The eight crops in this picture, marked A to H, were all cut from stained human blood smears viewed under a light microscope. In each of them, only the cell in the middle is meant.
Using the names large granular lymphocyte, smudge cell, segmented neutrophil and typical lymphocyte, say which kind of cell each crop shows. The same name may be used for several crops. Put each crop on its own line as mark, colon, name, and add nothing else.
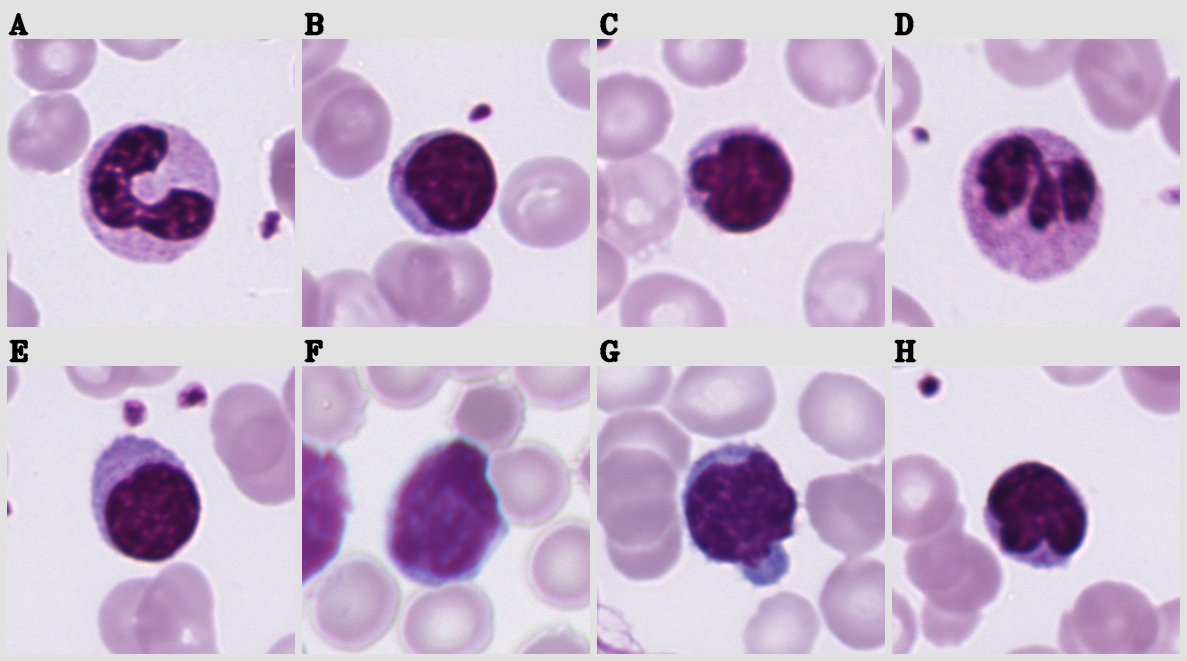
A: segmented neutrophil
B: typical lymphocyte
C: typical lymphocyte
D: segmented neutrophil
E: typical lymphocyte
F: typical lymphocyte
G: typical lymphocyte
H: typical lymphocyte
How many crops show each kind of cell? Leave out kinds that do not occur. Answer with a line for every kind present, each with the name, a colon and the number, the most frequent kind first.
typical lymphocyte: 6
segmented neutrophil: 2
